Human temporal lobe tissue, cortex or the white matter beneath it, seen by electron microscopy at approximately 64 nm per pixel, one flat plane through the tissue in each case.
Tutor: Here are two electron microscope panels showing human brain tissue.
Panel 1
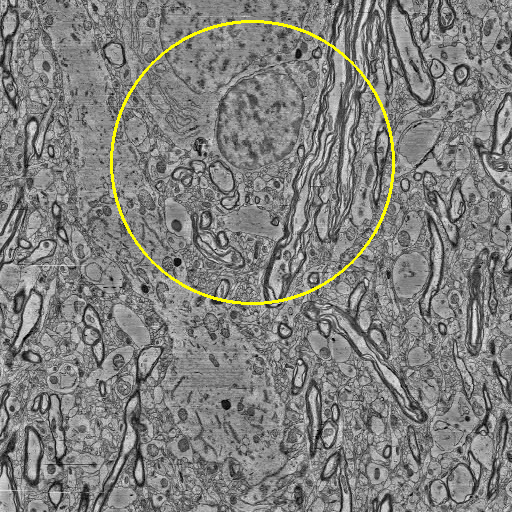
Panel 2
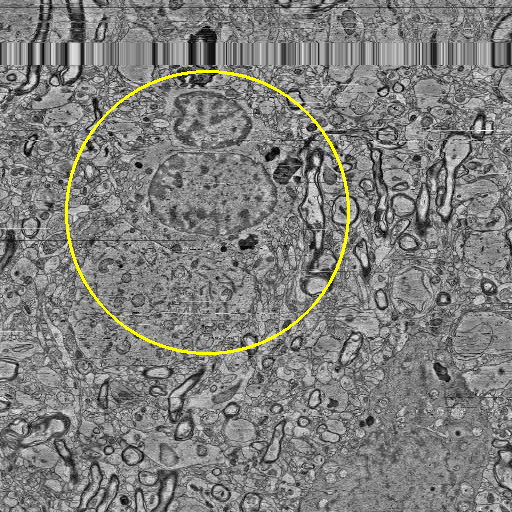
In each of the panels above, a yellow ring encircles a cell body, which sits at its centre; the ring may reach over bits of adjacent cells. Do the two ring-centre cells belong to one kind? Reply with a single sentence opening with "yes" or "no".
Yes, the two cells sitting at the ring centres in the panels belong to one kind.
